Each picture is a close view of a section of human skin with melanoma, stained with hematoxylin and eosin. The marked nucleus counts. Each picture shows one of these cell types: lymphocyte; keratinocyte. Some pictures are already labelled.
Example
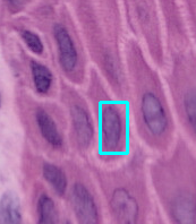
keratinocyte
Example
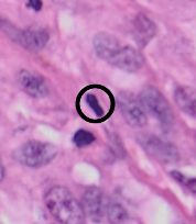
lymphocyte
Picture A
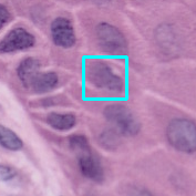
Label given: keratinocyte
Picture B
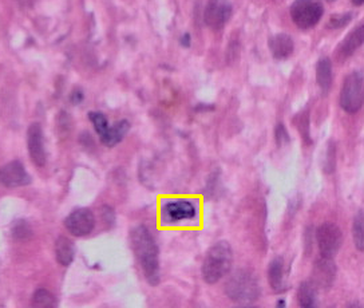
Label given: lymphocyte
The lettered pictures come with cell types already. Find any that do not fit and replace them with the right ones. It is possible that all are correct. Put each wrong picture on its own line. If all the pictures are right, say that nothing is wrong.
None of the labels needs changing.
